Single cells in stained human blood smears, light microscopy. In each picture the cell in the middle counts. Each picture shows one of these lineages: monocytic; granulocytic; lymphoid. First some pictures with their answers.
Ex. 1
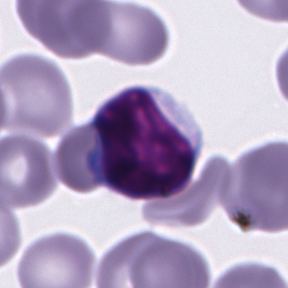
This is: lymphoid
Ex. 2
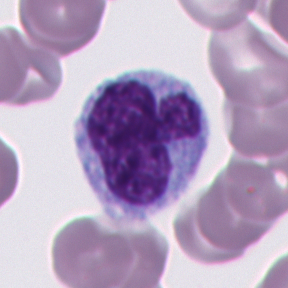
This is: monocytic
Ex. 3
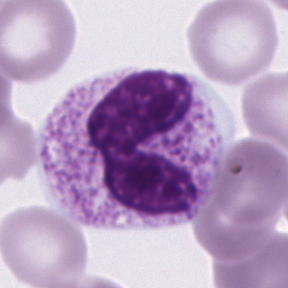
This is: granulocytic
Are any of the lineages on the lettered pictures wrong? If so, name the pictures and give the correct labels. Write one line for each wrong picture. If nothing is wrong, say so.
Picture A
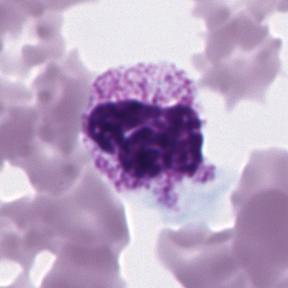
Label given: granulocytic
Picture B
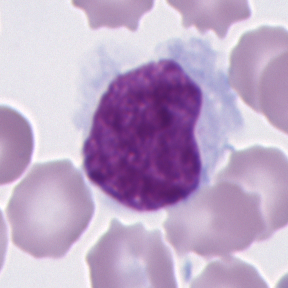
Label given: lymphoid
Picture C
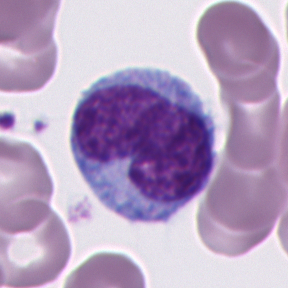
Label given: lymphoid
C: not lymphoid but monocytic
